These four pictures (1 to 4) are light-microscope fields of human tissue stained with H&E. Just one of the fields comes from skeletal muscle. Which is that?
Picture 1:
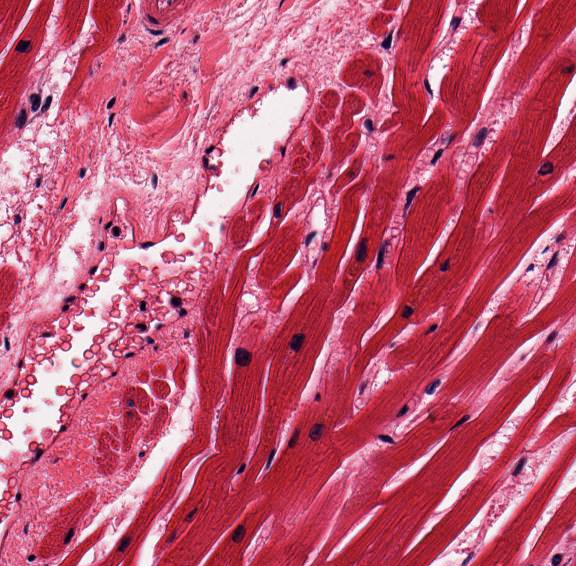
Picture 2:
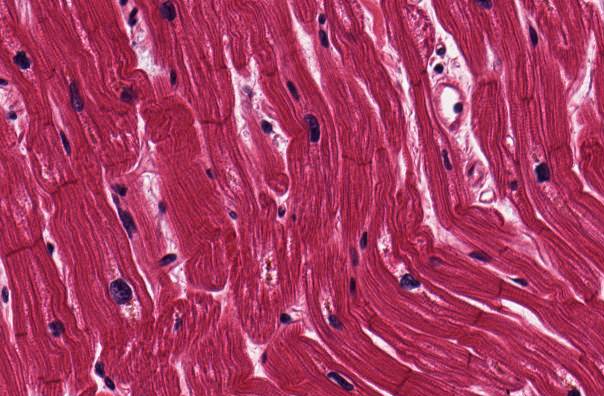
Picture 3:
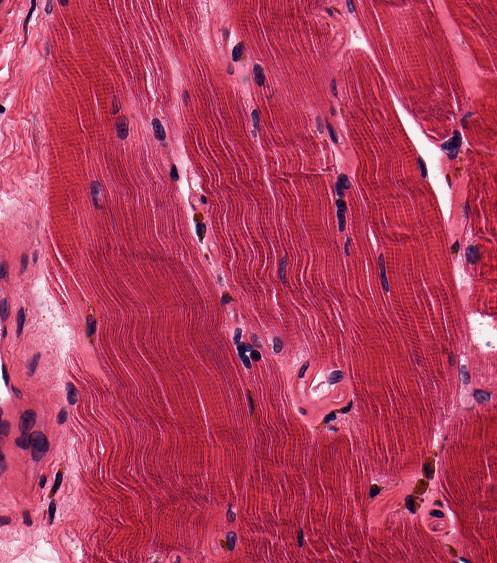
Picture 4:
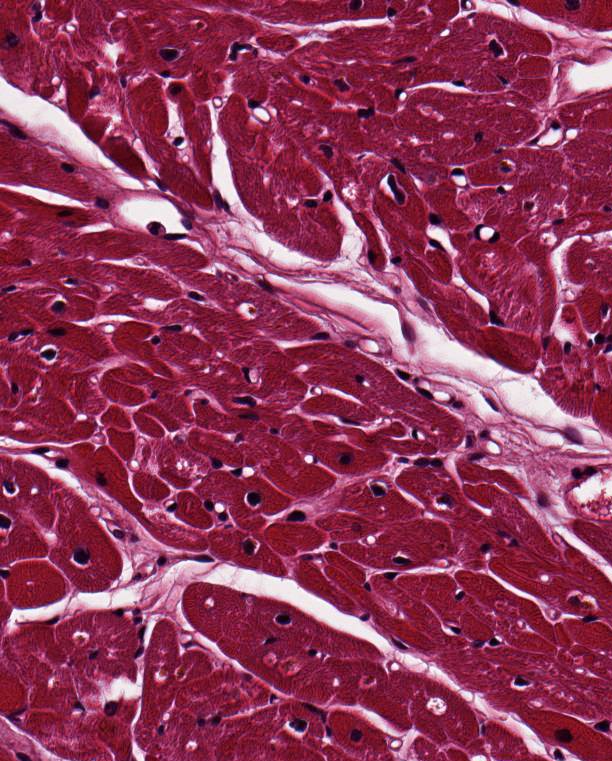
3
